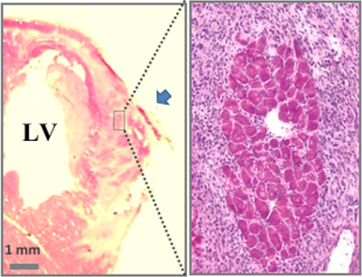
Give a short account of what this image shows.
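This is a section of heart wall stained pink and purple, shown at low magnification beside a boxed area that is enlarged. In the enlargement, a compact island of large cardiomyocytes appears as polygonal, deeply pink cells with abundant cytoplasm. The island is surrounded by densely cellular tissue that contains many small, dark purple nuclei and only scant pink material. A small open vessel-like lumen lies at the centre of the island, and another pale lumen is visible at the lower right.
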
